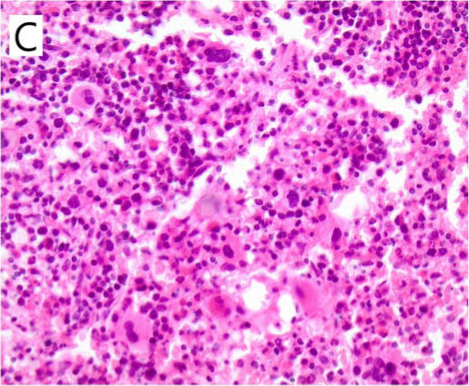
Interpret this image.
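Bone marrow with a dense mixed population of haematopoietic cells and prominent megakaryocytes. The megakaryocytes are large cells with abundant pink cytoplasm and large lobulated nuclei, and they vary in size. Between them lie many smaller cells with dark round nuclei, some in clusters. Little fat or empty space is left among the cells.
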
